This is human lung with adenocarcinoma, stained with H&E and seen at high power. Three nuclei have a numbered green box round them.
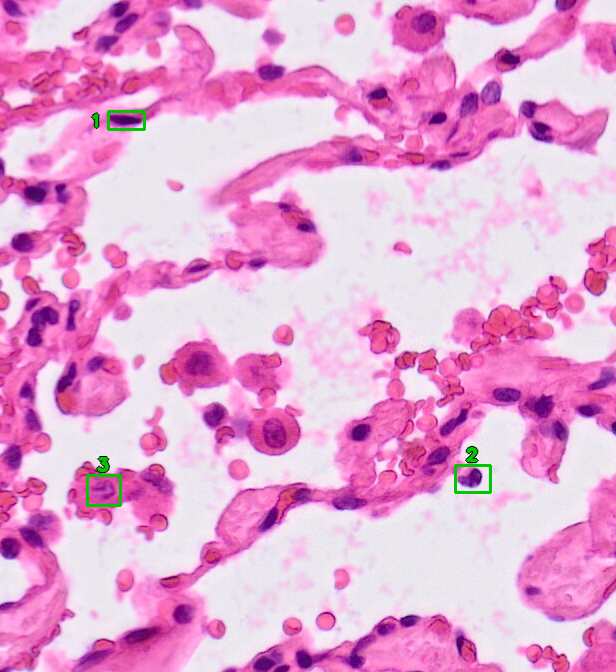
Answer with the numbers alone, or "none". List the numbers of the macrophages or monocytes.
3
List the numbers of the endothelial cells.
1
